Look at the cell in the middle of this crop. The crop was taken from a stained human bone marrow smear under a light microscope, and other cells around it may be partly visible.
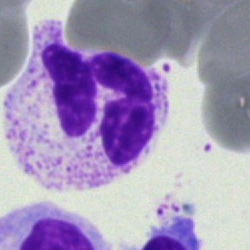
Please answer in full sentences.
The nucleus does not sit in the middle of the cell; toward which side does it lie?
Toward the upper right of the cell lies its nucleus.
